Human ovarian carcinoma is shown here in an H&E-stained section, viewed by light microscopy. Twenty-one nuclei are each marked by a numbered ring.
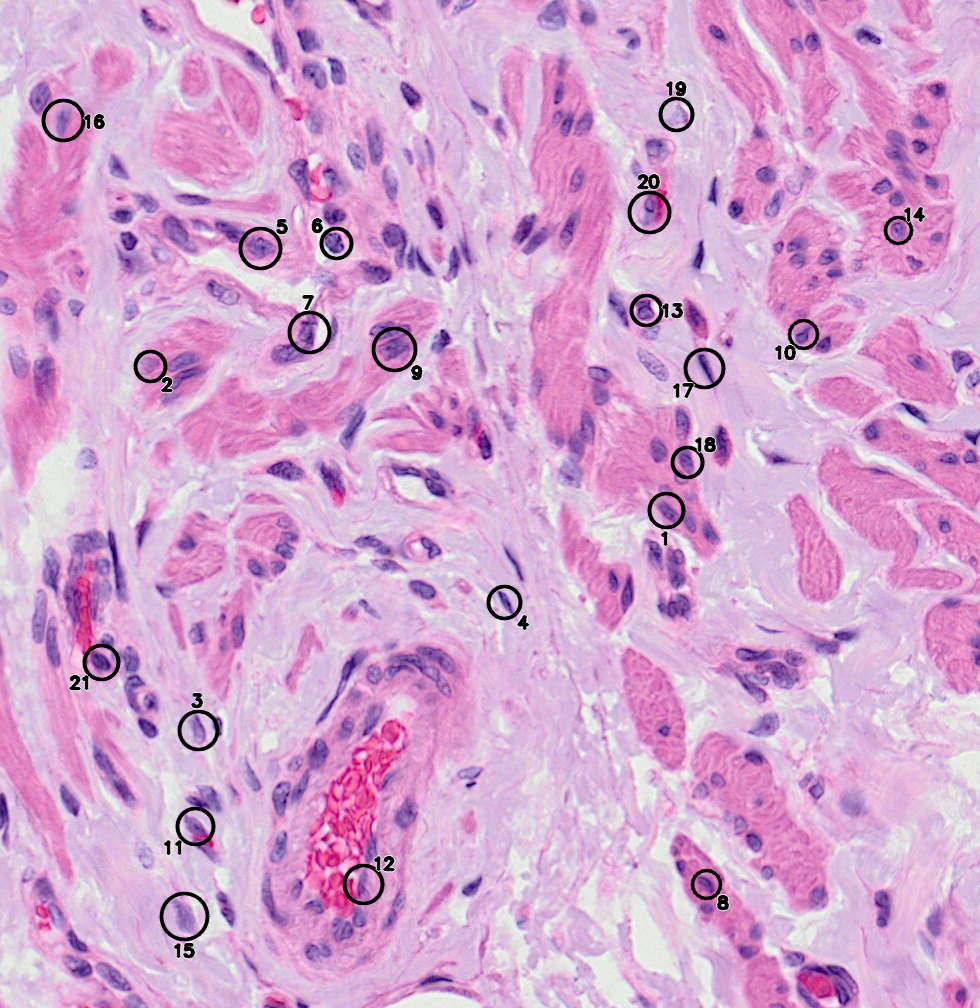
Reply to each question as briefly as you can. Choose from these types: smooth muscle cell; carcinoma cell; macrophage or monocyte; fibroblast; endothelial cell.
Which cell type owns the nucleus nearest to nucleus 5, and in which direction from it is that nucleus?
an endothelial cell; above and to the left of nucleus 5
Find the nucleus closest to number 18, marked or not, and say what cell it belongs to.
smooth muscle cell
